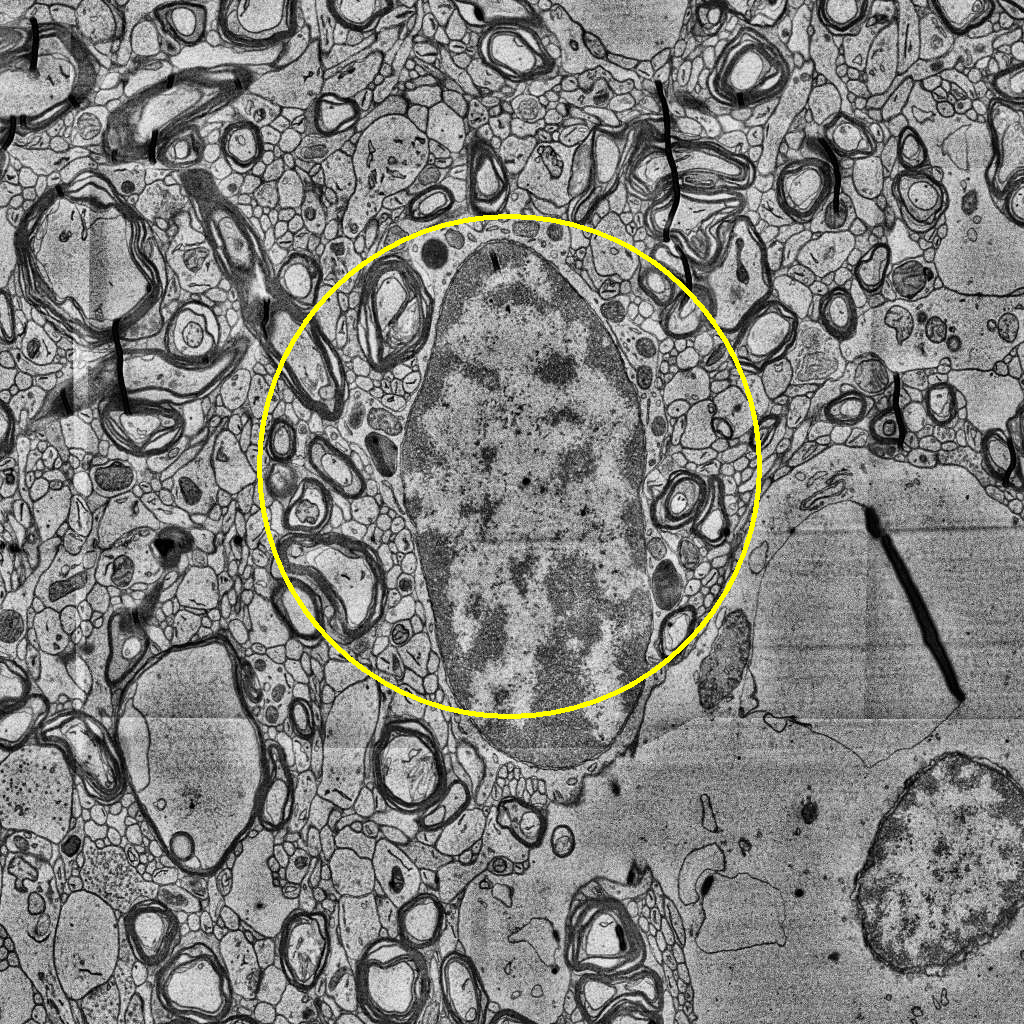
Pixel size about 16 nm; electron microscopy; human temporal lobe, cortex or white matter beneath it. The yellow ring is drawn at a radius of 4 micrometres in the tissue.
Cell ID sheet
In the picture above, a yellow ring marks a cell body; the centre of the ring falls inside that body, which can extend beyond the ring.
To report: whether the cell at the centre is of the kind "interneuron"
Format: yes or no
no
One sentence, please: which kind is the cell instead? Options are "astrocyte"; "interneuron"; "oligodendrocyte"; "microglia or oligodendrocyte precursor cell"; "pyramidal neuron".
The cell in question here is a microglial cell or oligodendrocyte precursor cell.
